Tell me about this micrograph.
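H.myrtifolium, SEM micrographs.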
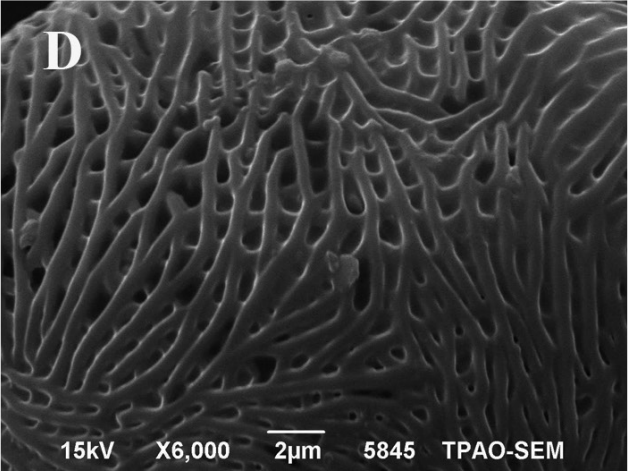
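Surface of a pollen grain wall at high magnification, showing the exine sculpturing. Elongated, often branching ridges are separated by narrow grooves and numerous small perforations. The ridges run roughly parallel in curving groups that converge from several directions toward the upper centre. A few small granular particles sit on the surface.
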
